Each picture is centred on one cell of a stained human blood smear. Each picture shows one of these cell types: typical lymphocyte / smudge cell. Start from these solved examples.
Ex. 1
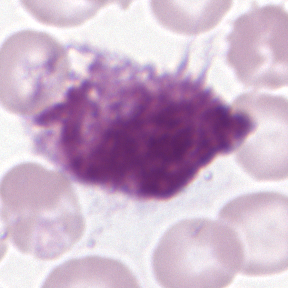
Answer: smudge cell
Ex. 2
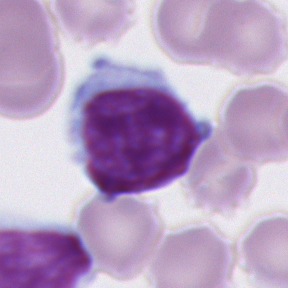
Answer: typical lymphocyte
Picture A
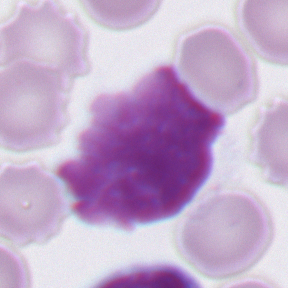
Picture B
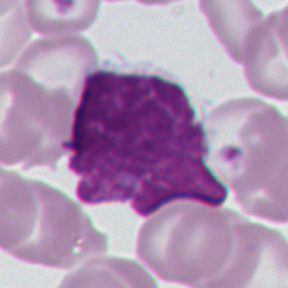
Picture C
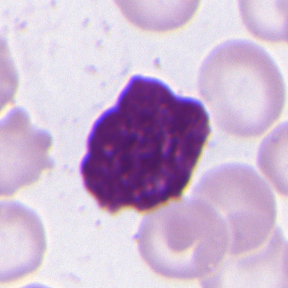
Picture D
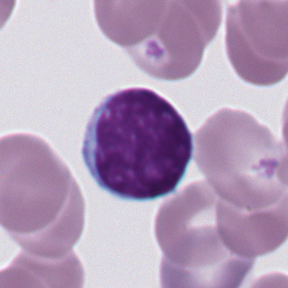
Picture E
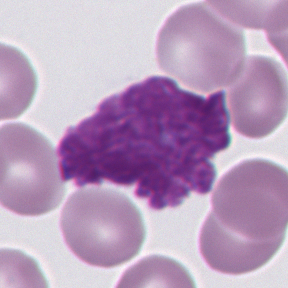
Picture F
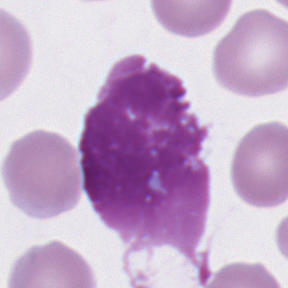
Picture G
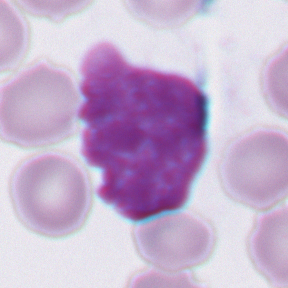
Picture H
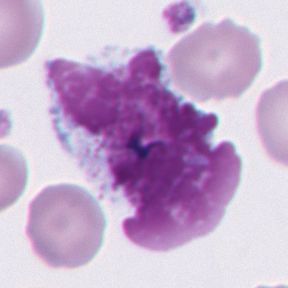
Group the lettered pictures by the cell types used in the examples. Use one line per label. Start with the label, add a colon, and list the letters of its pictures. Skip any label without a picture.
typical lymphocyte: D
smudge cell: A, B, C, E, F, G, H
